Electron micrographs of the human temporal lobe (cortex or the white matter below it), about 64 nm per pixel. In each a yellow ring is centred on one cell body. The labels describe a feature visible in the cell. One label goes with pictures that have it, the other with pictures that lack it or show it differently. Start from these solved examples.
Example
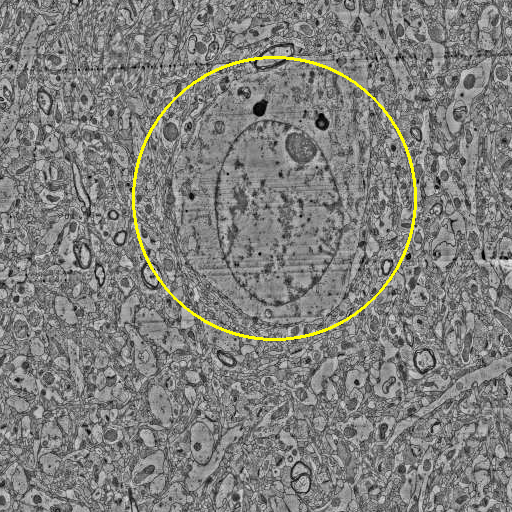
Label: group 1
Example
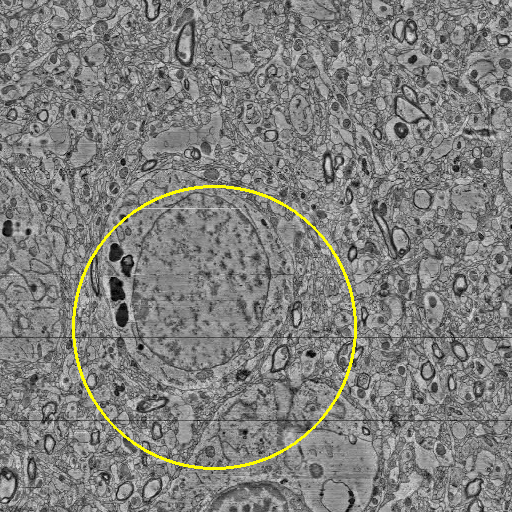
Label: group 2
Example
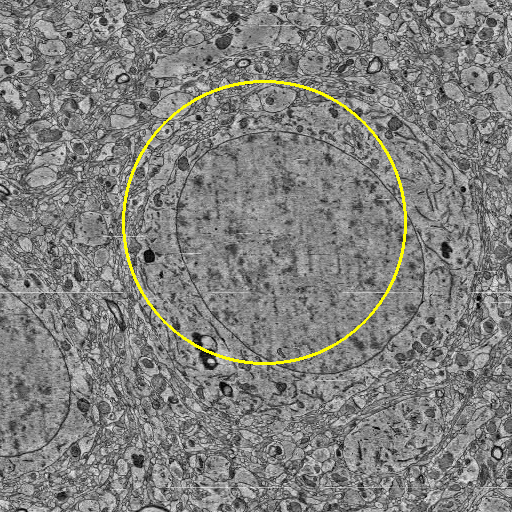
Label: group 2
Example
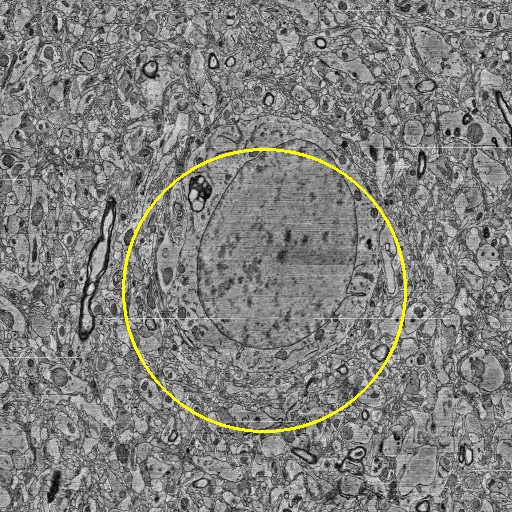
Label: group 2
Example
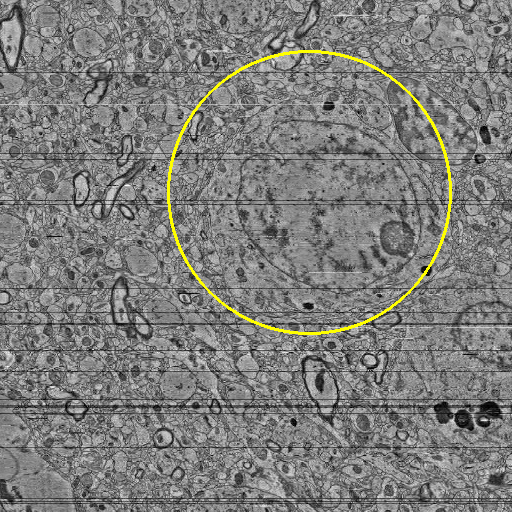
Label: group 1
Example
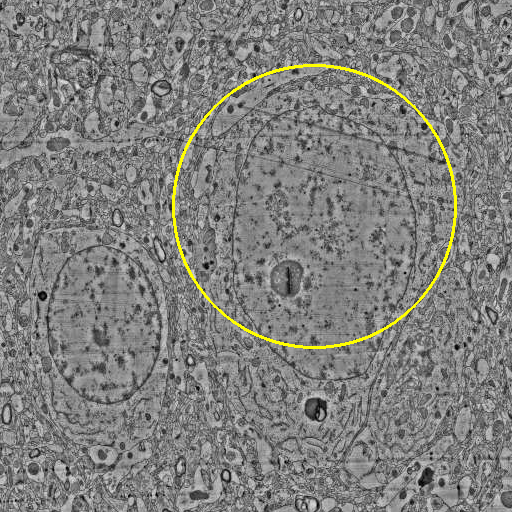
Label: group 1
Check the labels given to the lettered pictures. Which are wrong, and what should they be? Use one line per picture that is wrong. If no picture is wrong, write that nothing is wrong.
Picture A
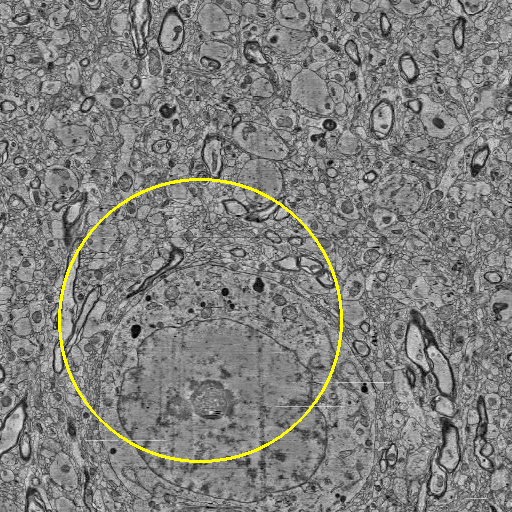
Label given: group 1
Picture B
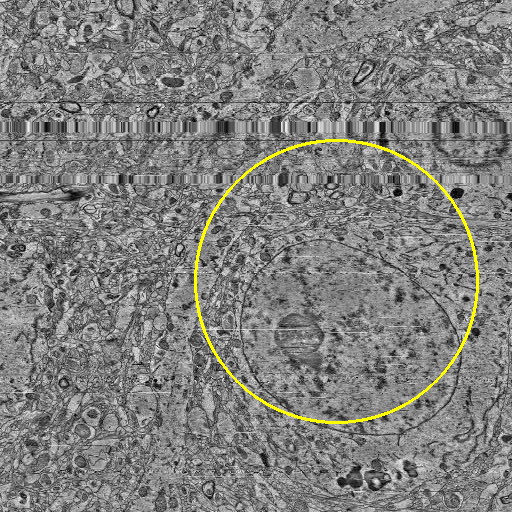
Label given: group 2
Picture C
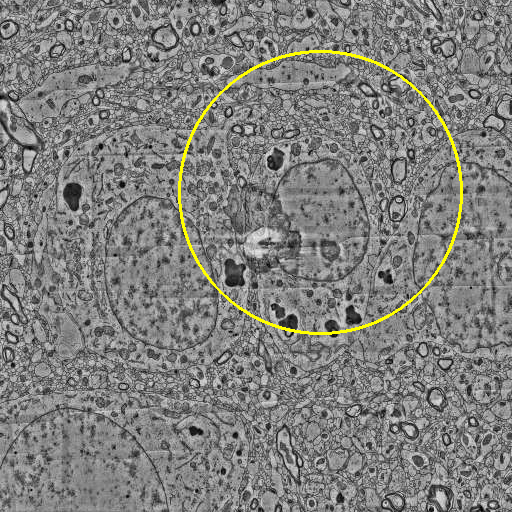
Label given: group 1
B should be group 1, not group 2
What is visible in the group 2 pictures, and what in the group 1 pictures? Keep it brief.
group 2: no nucleolus seen; group 1: nucleolus seen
